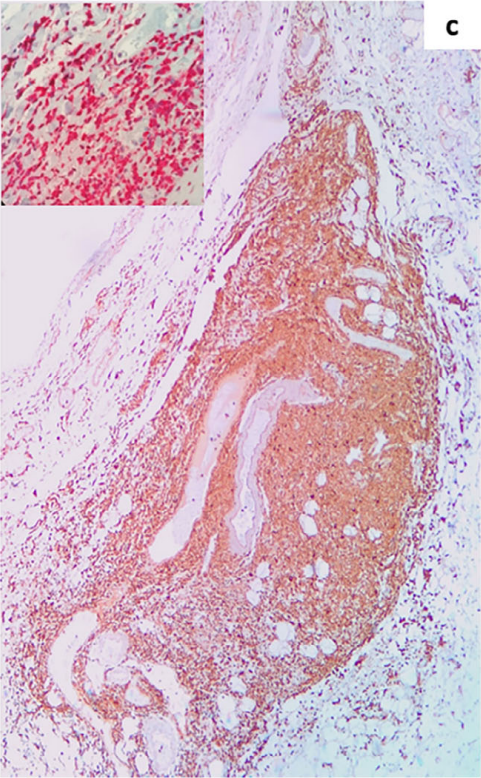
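The brown-stained cells pack together into a large oval mass threaded by empty thin-walled vessels and small clear spaces. Outside it the loose connective tissue is pale, with only scattered stained cells. In the inset, at higher power, many elongated to round cells show strong red staining against a pale background.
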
